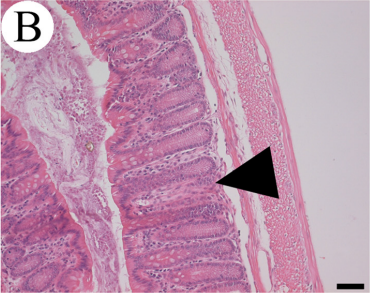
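Colonic mucosa with a row of long, straight tubular crypts lying side by side. Thin strips of lamina propria with scattered nuclei separate the crypts. Beneath the crypts lies a thin submucosa and a pink band of smooth muscle. The mucosa appears largely intact, with only mild cellularity between crypts.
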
